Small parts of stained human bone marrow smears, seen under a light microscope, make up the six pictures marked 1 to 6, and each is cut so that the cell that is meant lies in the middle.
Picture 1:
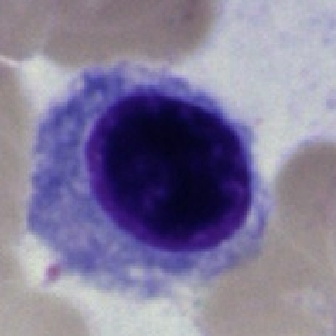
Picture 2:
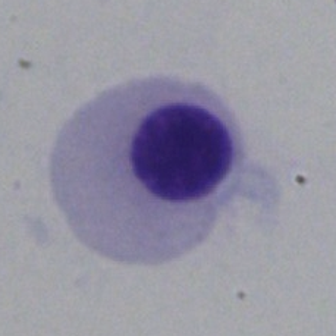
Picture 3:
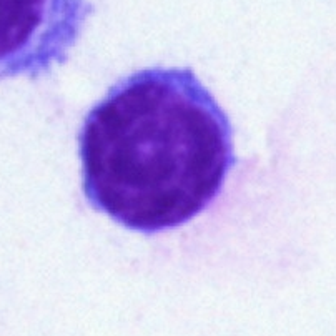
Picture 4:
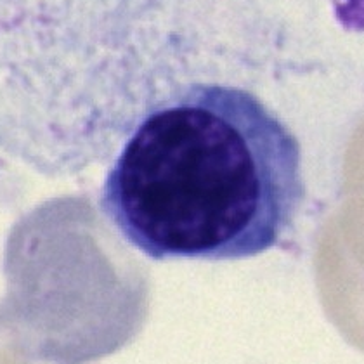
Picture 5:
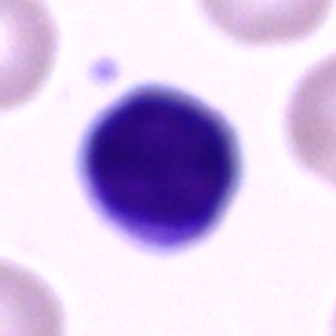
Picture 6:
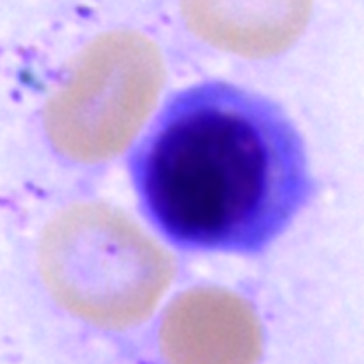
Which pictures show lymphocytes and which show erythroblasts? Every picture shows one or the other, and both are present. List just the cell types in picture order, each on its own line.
erythroblast
erythroblast
lymphocyte
erythroblast
lymphocyte
erythroblast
